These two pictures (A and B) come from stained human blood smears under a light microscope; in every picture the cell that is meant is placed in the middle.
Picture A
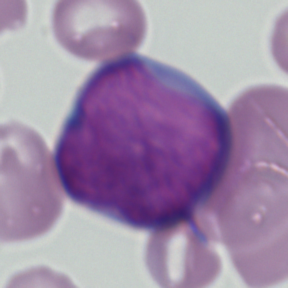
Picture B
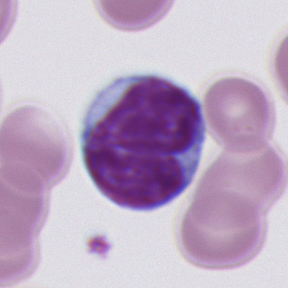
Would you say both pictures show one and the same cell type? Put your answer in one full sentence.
No, the types are not the same, since picture A shows a myeloblast and picture B a typical lymphocyte.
